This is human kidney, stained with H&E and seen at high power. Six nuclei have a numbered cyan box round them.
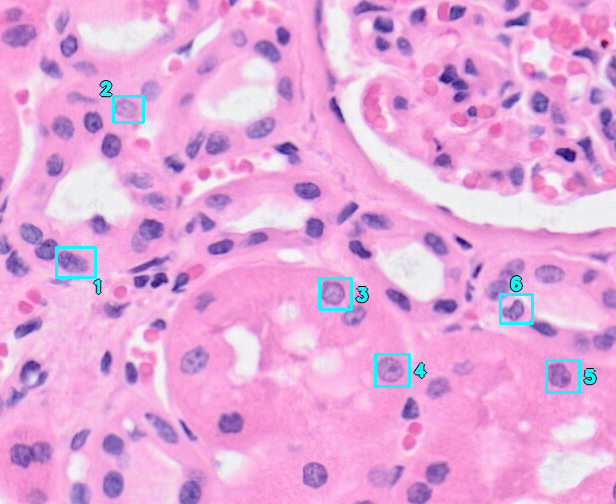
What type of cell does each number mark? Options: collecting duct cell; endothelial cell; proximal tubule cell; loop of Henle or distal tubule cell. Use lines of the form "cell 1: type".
cell 1: collecting duct cell
cell 2: collecting duct cell
cell 3: proximal tubule cell
cell 4: proximal tubule cell
cell 5: proximal tubule cell
cell 6: collecting duct cell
